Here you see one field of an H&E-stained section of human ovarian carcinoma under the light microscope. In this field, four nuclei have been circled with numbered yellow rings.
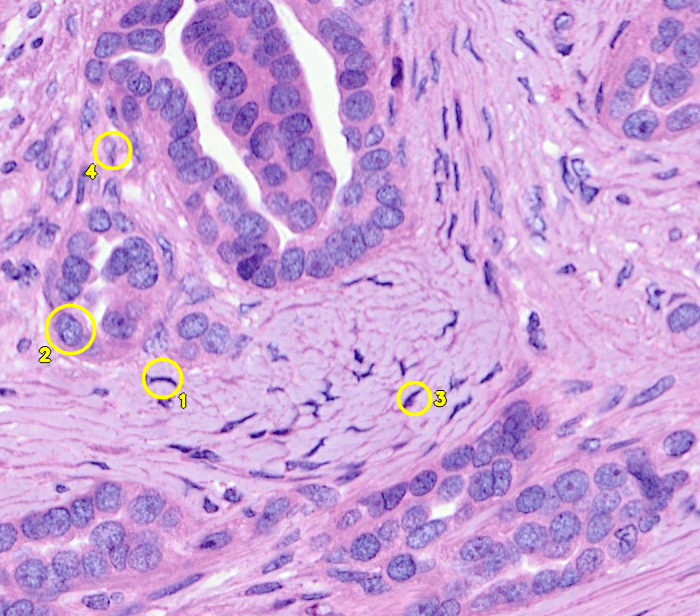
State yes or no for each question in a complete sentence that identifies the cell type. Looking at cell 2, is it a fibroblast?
No, cell 2 should be classed as a carcinoma cell, not as a fibroblast.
